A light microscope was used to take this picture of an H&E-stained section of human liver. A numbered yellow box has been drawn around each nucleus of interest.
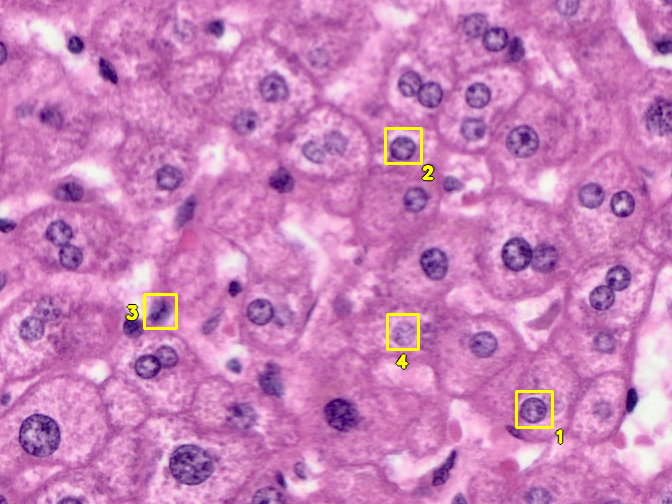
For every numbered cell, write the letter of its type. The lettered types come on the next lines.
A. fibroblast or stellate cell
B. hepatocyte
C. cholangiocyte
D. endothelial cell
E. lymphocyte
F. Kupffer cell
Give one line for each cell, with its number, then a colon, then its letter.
1: B
2: B
3: D
4: B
